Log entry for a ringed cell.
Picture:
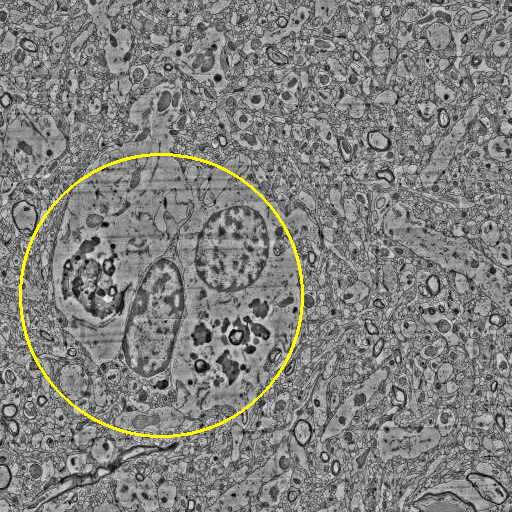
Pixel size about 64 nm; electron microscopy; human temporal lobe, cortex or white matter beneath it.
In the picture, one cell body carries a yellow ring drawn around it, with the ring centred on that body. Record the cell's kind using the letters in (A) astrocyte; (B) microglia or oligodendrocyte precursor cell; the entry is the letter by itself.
B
